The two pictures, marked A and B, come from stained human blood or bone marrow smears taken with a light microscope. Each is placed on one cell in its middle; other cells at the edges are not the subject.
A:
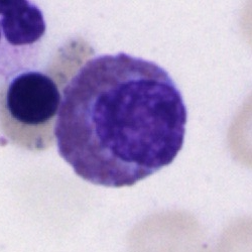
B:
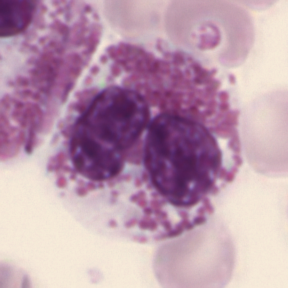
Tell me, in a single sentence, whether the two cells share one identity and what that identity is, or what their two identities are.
Yes, both crops show eosinophils, and that holds for each one.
